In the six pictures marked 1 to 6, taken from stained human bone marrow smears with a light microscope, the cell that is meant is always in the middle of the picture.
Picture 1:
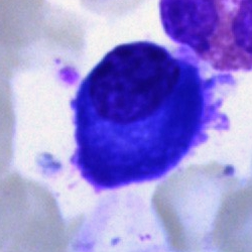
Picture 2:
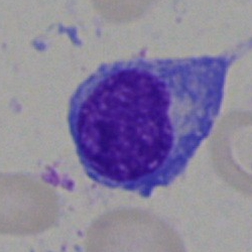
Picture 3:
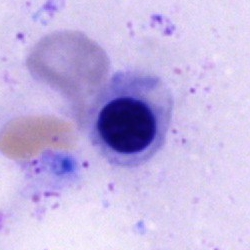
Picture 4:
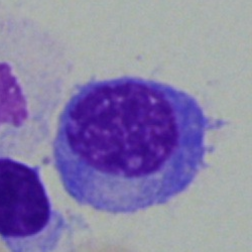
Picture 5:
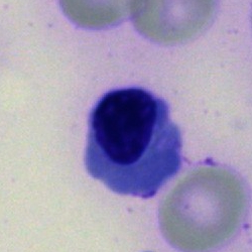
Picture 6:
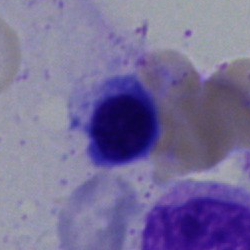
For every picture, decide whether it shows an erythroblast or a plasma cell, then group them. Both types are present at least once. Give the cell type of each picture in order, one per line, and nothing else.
plasma cell
plasma cell
erythroblast
plasma cell
erythroblast
erythroblast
